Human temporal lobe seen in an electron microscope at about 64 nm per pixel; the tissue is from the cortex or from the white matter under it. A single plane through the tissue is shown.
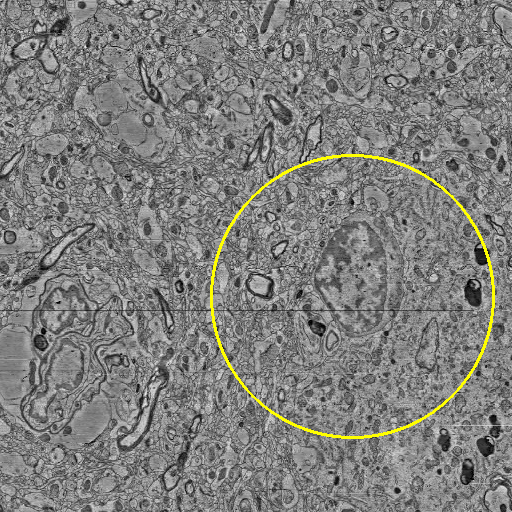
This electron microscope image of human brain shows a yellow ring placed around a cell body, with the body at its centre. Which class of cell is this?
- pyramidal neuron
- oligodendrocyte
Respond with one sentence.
The cell body at the ring's centre is an oligodendrocyte.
